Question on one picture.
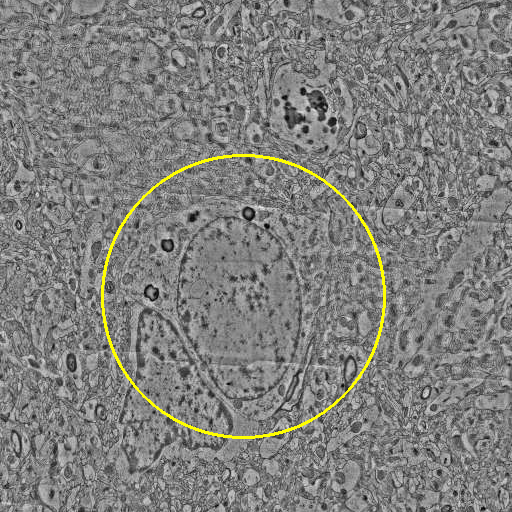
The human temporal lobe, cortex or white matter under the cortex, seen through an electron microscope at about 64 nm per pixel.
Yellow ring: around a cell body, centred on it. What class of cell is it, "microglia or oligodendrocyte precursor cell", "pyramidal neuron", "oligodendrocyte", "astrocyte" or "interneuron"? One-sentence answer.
This is a pyramidal neuron, the cell the ring is centred on.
